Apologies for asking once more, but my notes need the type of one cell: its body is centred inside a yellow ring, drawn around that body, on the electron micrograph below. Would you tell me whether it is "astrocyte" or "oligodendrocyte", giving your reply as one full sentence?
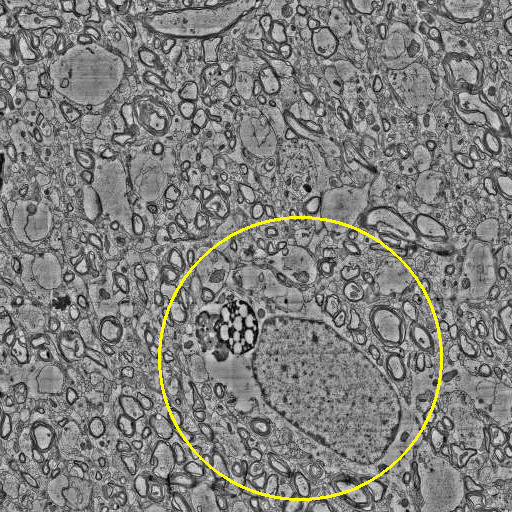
The cell that the yellow ring is centred on is an astrocyte in this micrograph.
